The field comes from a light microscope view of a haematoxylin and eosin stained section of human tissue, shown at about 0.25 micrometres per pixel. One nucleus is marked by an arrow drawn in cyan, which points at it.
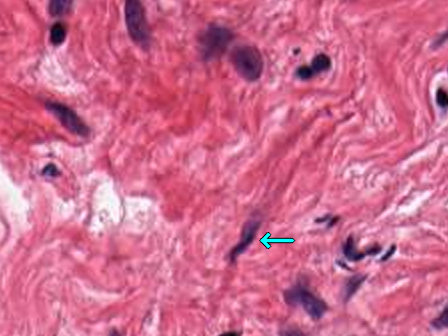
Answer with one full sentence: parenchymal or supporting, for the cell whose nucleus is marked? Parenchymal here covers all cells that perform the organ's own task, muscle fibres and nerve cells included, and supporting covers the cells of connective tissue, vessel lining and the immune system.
It is a supporting cell to which the marked nucleus belongs.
